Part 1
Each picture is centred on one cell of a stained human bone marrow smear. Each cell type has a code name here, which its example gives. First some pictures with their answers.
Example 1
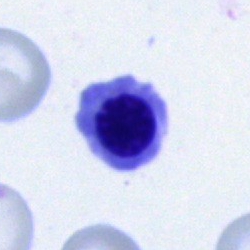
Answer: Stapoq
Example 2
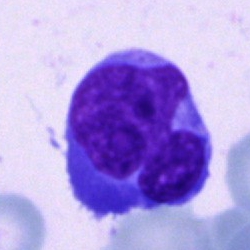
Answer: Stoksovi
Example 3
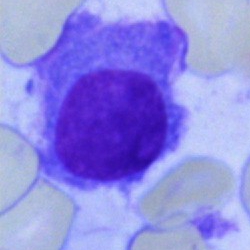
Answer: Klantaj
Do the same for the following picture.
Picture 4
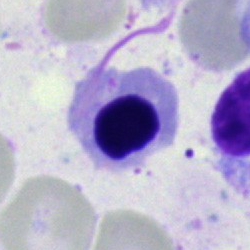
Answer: Stapoq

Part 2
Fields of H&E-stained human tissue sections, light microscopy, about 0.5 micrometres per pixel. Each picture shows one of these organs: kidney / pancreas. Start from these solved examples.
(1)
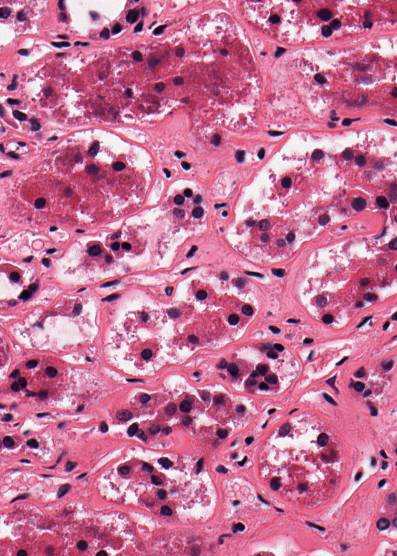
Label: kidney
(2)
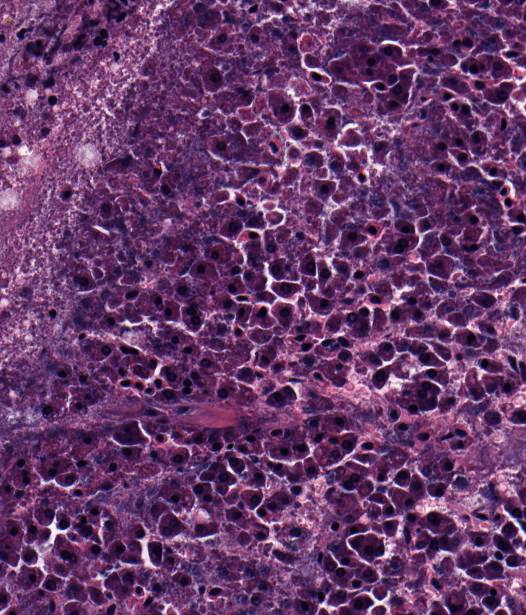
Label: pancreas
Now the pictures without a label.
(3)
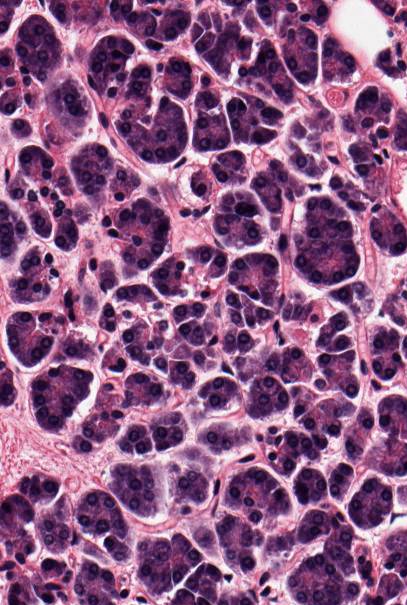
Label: pancreas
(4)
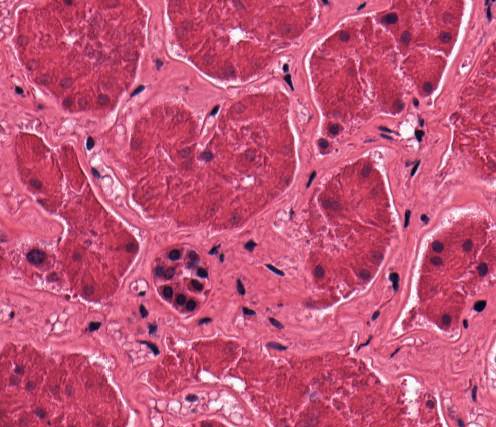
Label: kidney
